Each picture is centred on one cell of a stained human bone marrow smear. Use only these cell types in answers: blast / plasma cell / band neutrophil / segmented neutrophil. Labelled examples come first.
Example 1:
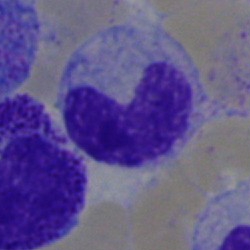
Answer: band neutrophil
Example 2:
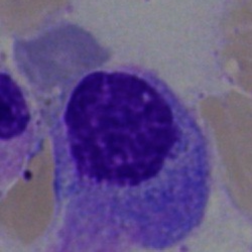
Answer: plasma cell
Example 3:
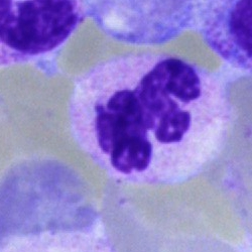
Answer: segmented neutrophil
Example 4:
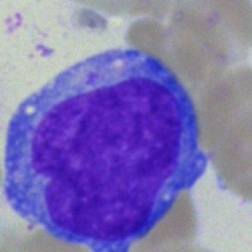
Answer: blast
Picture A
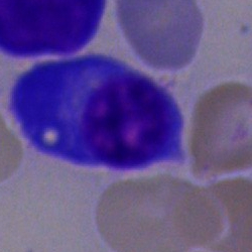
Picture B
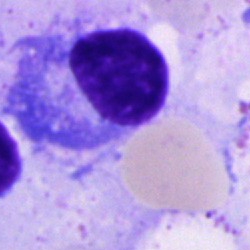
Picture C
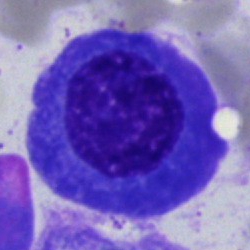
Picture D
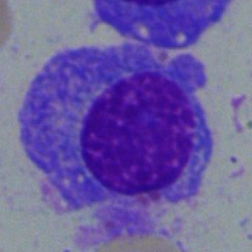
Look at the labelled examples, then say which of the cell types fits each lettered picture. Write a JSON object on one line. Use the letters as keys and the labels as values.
{"A": "plasma cell", "B": "plasma cell", "C": "plasma cell", "D": "plasma cell"}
